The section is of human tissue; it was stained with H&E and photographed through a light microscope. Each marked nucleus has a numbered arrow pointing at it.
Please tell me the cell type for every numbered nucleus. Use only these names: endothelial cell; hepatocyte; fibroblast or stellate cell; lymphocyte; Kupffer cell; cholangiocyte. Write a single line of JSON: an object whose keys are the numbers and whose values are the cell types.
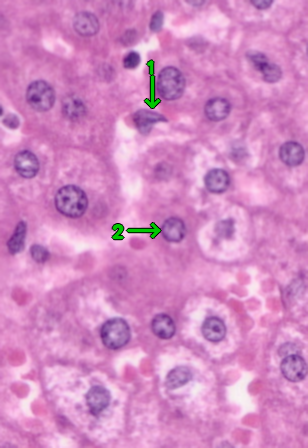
{"1": "Kupffer cell", "2": "hepatocyte"}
